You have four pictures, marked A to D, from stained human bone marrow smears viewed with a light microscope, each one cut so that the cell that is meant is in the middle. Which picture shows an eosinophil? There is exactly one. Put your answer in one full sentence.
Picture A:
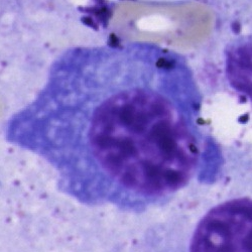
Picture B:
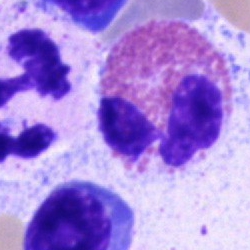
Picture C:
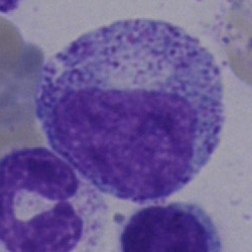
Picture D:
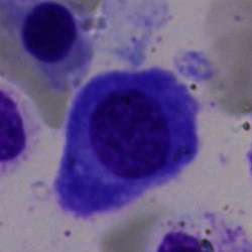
Picture B is the one that shows the eosinophil.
